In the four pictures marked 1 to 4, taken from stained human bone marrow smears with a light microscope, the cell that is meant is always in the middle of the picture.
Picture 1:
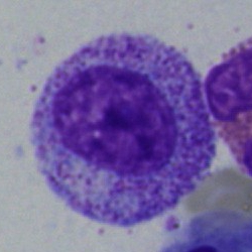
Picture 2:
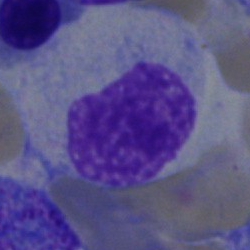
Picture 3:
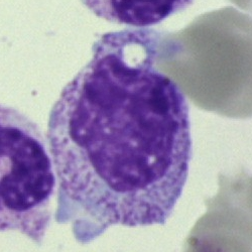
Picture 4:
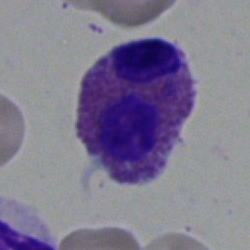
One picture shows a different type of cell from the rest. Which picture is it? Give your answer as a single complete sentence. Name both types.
Picture 4 is the odd one out: it shows an eosinophil, while the others show myelocytes.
